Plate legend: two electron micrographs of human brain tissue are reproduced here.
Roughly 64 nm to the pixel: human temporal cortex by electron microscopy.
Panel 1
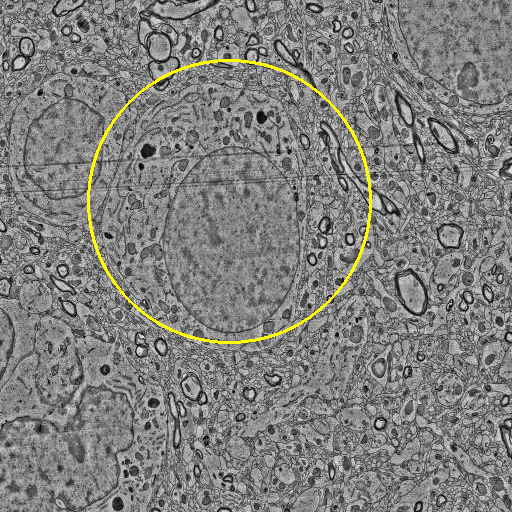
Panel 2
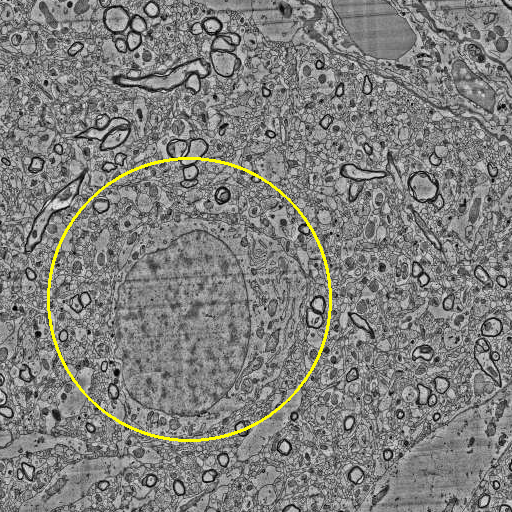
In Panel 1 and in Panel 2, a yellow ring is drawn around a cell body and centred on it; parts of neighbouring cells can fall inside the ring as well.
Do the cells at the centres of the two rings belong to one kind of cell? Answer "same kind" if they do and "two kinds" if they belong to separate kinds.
same kind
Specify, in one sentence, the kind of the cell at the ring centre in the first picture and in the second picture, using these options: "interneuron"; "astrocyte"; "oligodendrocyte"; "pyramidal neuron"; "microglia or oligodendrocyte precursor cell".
In the first picture and in the second, the ring is centred on an interneuron.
